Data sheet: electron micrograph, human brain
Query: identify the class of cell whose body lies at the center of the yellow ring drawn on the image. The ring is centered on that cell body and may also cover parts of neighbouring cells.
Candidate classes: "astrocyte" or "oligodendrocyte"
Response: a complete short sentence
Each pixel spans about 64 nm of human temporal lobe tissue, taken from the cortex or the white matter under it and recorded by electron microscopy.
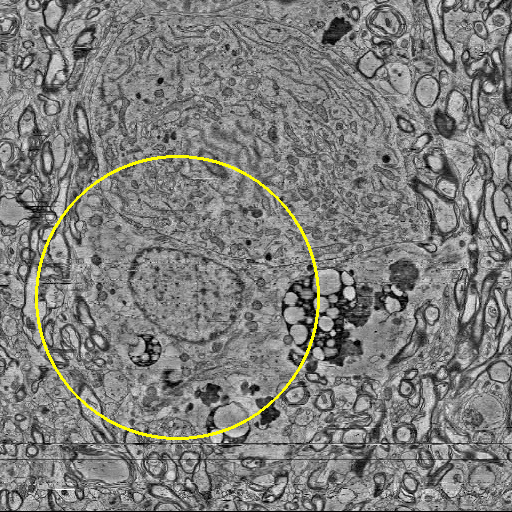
At the center of the ring lies an astrocyte.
